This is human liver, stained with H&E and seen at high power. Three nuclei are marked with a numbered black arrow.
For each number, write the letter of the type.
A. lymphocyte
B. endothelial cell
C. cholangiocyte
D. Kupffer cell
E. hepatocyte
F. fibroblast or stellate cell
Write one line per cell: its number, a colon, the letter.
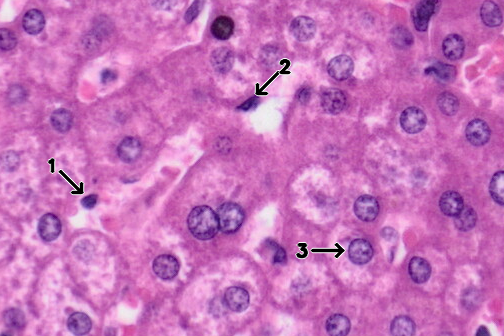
1: A
2: B
3: E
